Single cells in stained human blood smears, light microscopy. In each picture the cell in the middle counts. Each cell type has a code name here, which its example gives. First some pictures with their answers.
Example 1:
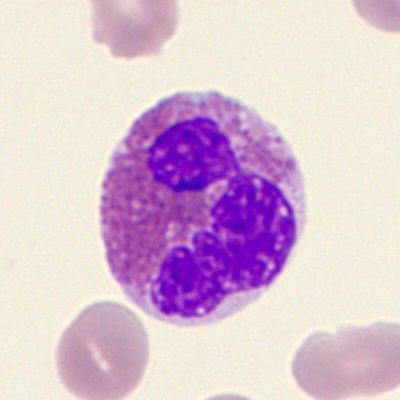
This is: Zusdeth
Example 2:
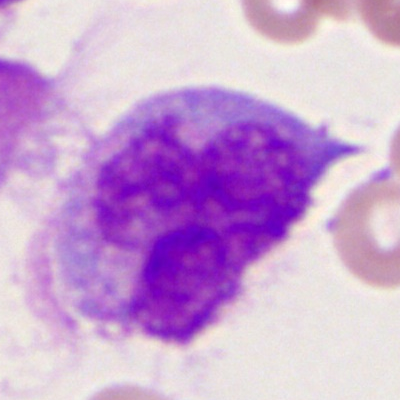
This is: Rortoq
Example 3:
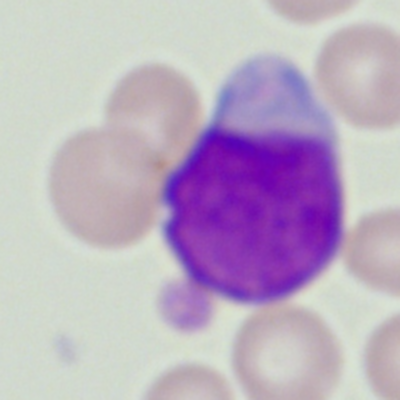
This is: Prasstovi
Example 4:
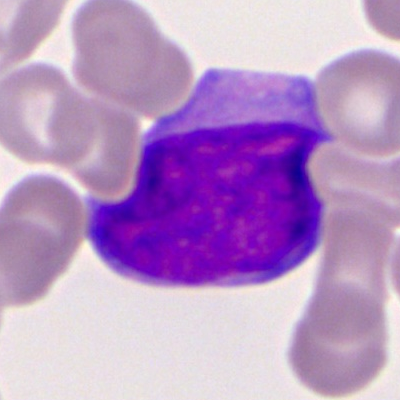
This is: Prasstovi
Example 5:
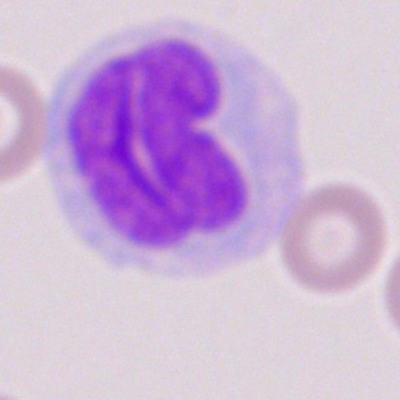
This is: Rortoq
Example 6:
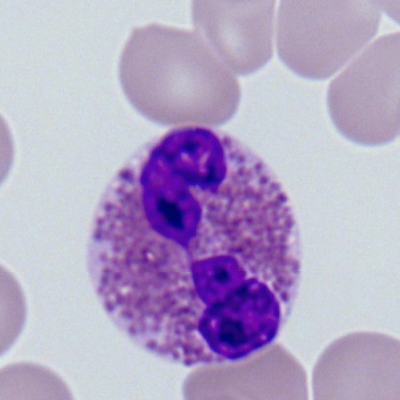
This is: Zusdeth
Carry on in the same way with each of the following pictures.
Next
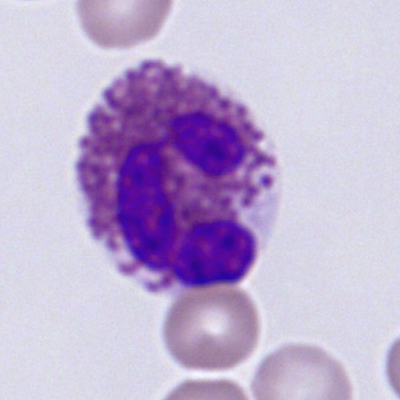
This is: Zusdeth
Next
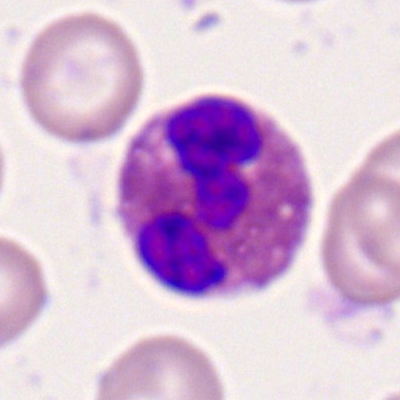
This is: Zusdeth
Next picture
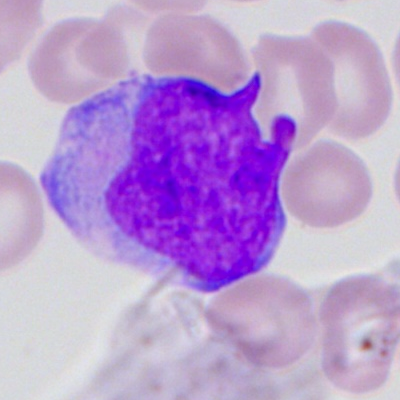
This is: Prasstovi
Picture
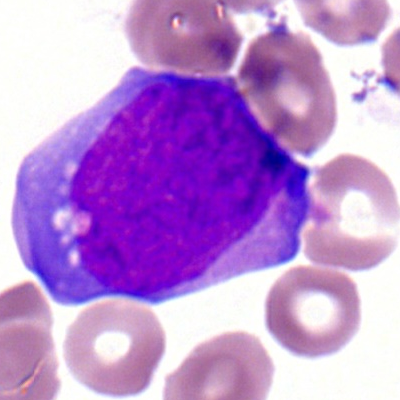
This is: Prasstovi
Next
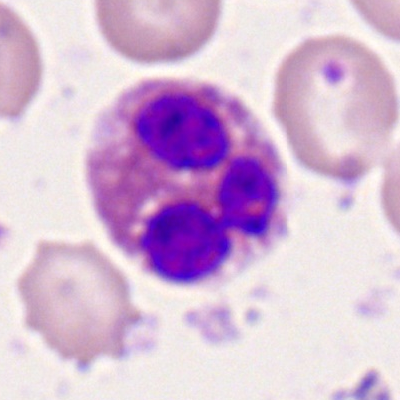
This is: Zusdeth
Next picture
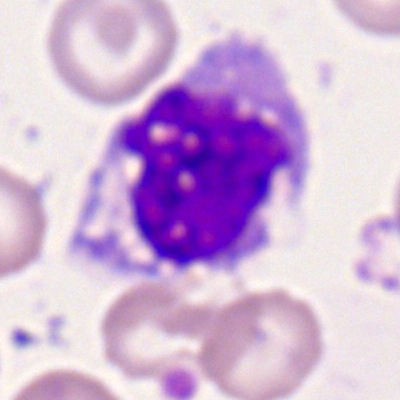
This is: Rortoq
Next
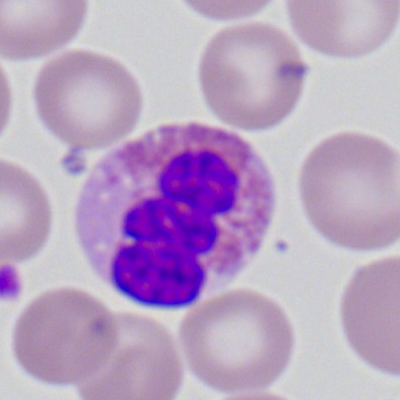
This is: Zusdeth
